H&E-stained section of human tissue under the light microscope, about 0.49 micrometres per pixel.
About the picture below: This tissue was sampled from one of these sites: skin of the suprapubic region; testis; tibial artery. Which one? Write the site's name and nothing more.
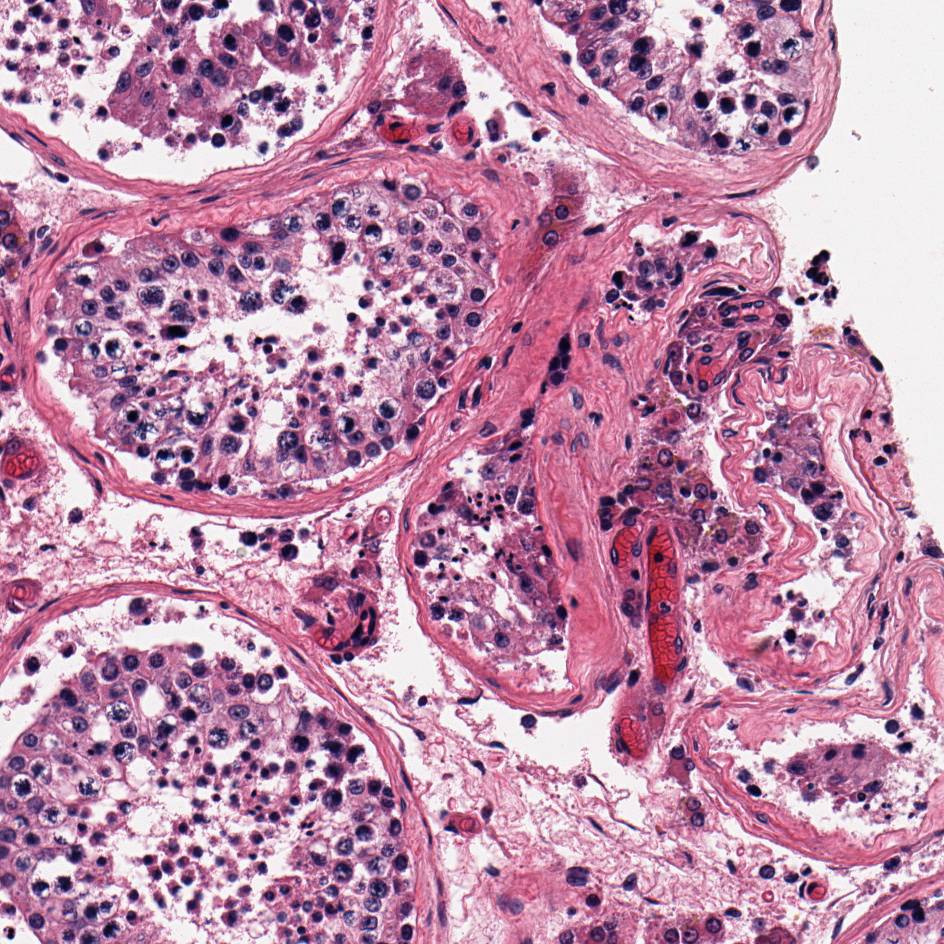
testis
